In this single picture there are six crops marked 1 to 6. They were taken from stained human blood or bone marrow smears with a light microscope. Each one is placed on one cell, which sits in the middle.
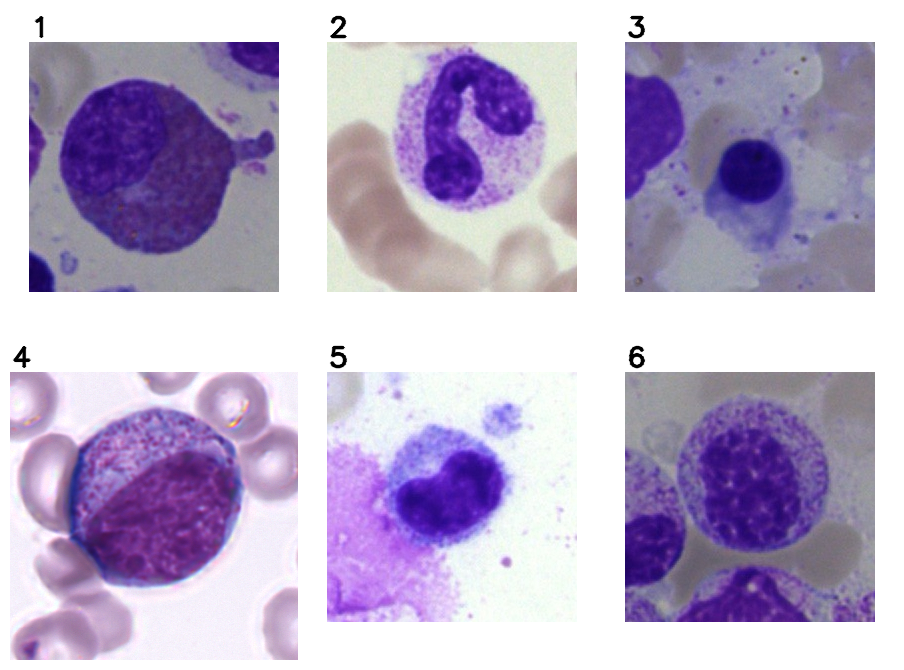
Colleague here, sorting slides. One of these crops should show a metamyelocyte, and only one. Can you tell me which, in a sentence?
Crop 5 is the one to choose: it shows a metamyelocyte.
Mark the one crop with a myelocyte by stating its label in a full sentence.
Of the crops shown, crop 6 depicts a myelocyte.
